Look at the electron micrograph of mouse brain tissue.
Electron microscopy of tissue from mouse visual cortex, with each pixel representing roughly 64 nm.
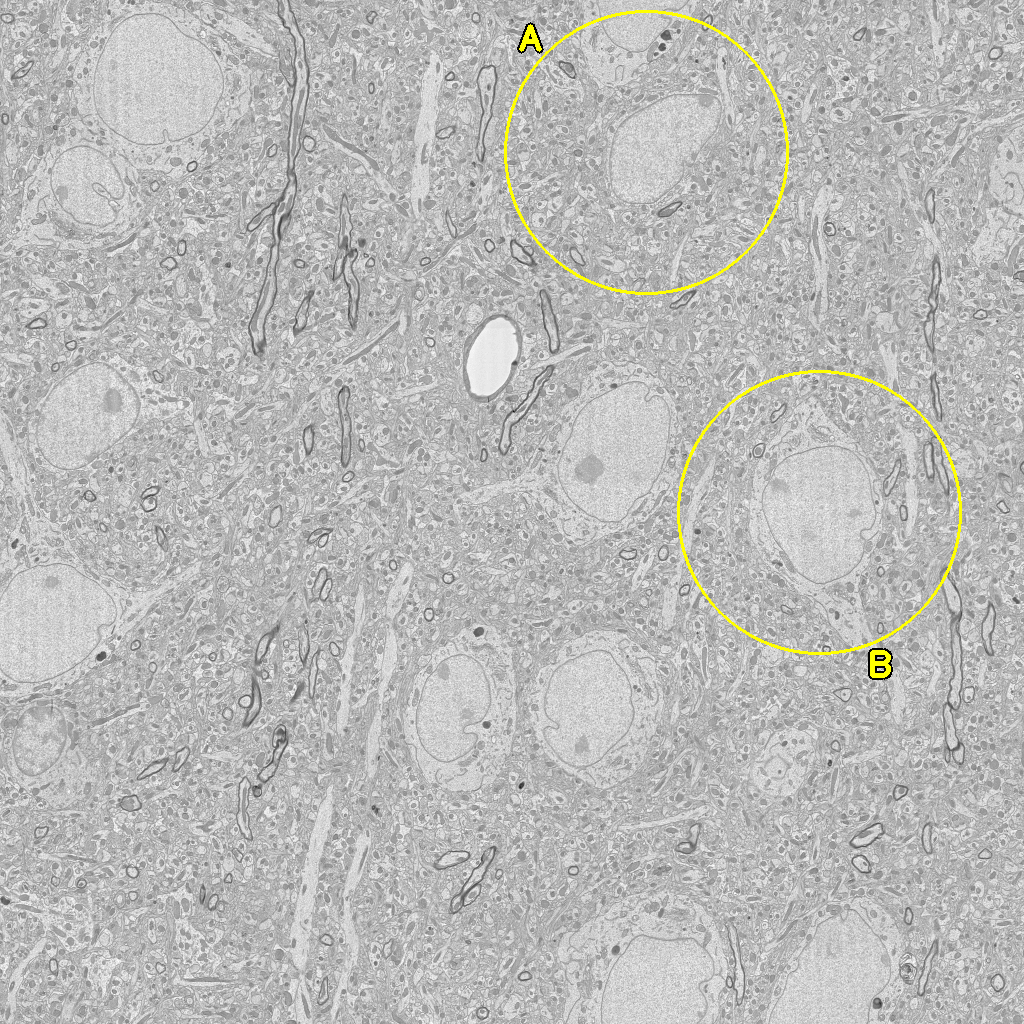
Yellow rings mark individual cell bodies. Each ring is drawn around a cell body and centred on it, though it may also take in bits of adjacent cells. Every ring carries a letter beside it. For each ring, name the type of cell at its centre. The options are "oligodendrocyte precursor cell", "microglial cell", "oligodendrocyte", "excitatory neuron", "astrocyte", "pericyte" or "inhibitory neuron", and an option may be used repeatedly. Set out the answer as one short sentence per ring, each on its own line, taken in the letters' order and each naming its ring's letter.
Ring A is drawn around an astrocyte.
Ring B is drawn around an excitatory neuron.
